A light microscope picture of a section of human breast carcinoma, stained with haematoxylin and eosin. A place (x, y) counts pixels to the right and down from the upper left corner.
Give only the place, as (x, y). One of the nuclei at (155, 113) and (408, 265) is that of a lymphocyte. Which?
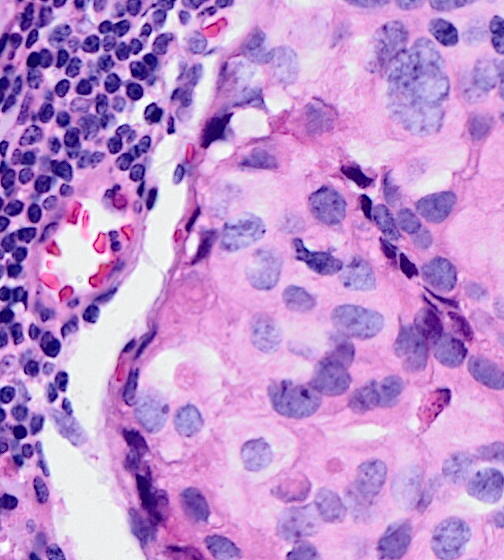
(155, 113)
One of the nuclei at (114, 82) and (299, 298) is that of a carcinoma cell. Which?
(299, 298)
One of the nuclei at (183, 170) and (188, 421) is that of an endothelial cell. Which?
(183, 170)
